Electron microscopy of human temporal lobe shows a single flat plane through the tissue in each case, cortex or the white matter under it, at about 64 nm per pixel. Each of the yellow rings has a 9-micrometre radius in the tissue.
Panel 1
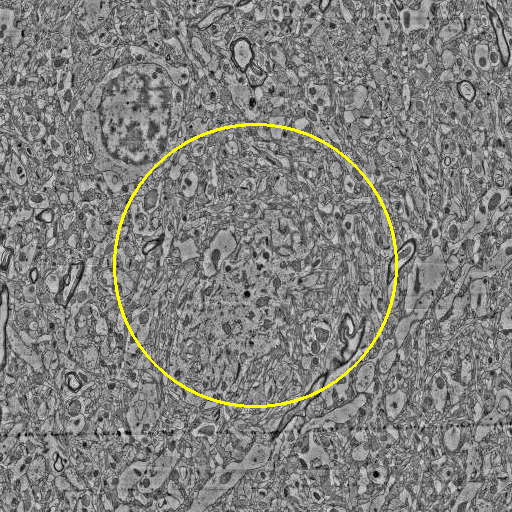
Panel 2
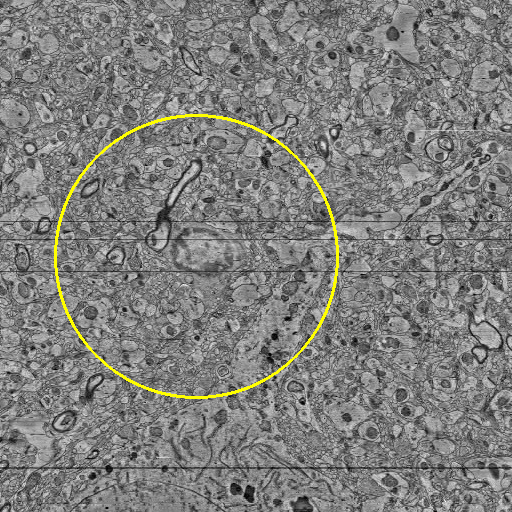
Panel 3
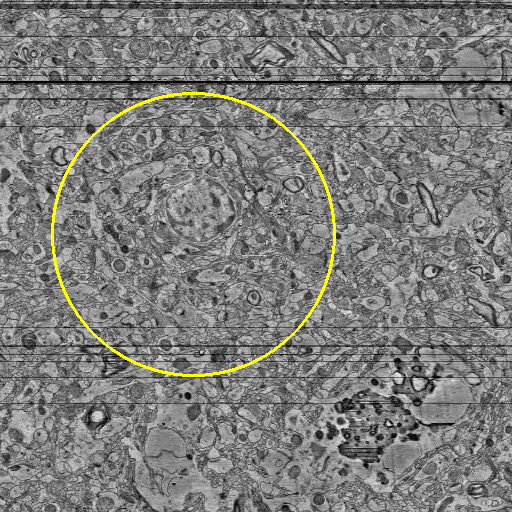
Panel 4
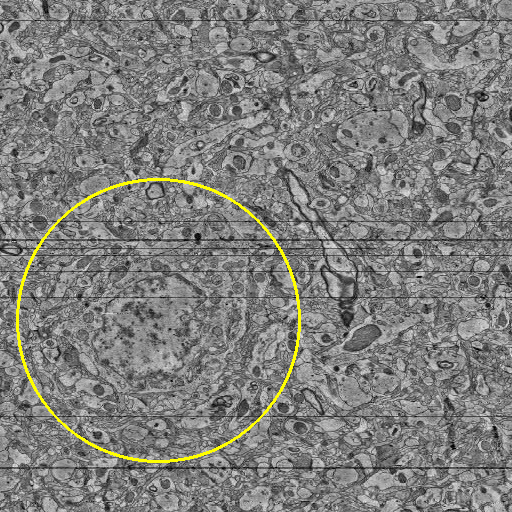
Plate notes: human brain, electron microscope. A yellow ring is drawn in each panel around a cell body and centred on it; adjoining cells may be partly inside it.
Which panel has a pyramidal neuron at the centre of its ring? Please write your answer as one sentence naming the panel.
The ring in Panel 1 is centred on such a cell.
